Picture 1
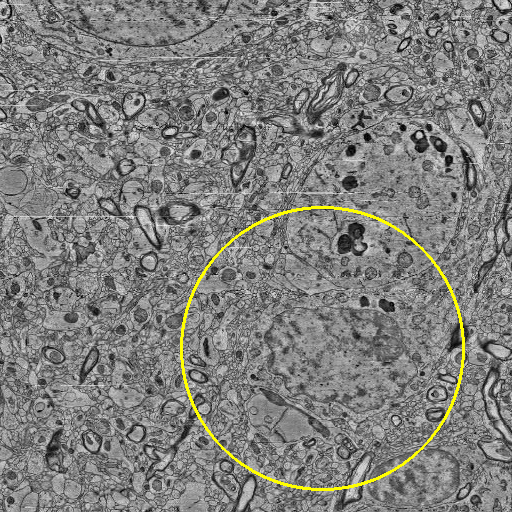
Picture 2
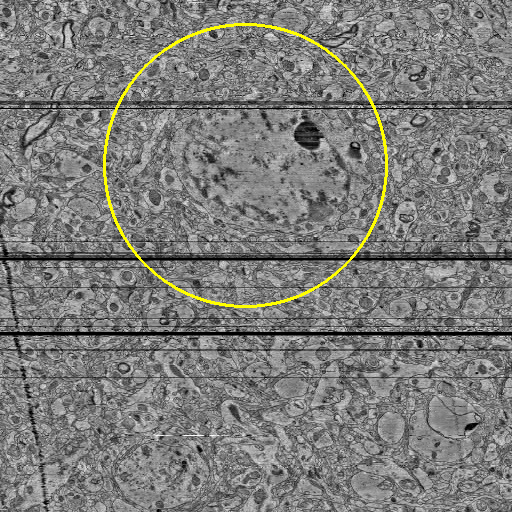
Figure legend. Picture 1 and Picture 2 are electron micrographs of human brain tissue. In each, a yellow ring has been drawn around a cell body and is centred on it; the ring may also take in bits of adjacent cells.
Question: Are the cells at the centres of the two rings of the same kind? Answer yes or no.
yes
